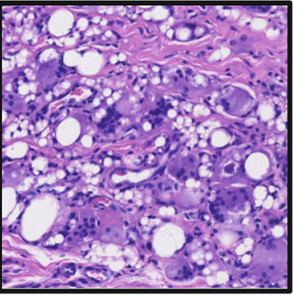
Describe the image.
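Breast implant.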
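This is fibrous capsule tissue crowded with clear vacuoles, foam cells and multinucleated giant cells. Numerous round, empty spaces of widely varying size are scattered through the field, giving the tissue a bubbly look. Between them lie cells with pale, finely vacuolated cytoplasm and small nuclei. Several large cells with pink cytoplasm hold many nuclei each and sit close to the vacuoles. Thin strands of pink connective tissue separate these cell groups.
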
